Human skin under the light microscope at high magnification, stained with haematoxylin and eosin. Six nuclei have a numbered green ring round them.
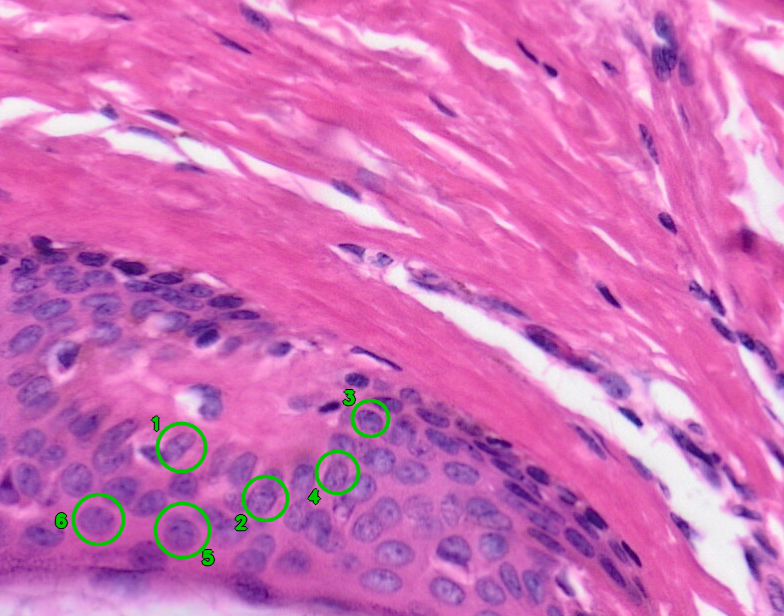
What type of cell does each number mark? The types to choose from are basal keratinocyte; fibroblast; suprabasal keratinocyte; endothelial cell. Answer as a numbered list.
1. basal keratinocyte
2. basal keratinocyte
3. basal keratinocyte
4. basal keratinocyte
5. suprabasal keratinocyte
6. suprabasal keratinocyte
